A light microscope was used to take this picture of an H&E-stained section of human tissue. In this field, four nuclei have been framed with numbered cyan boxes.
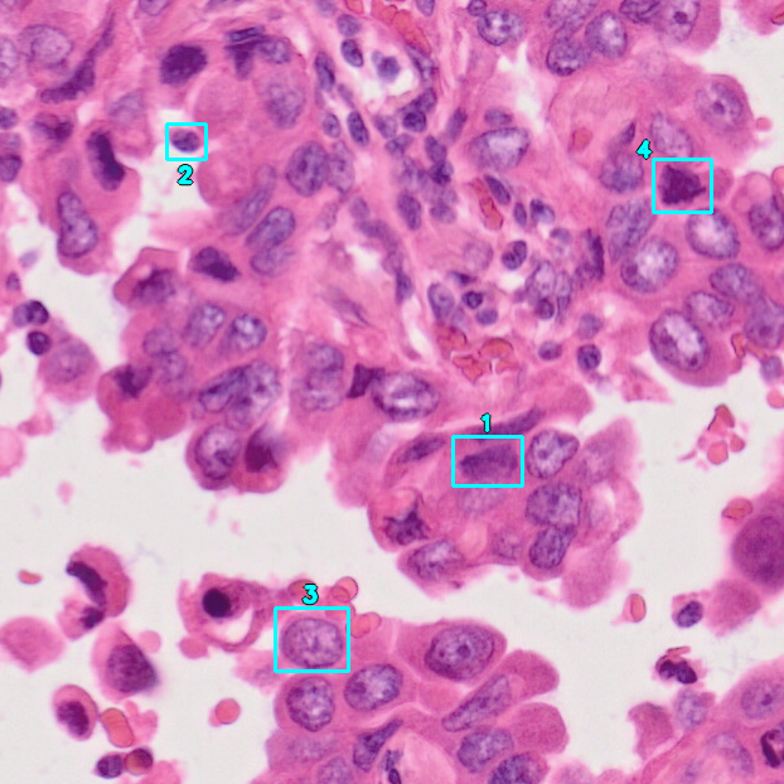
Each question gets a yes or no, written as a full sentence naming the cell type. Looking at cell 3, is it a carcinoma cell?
Yes, the cell denoted by 3 is a carcinoma cell.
